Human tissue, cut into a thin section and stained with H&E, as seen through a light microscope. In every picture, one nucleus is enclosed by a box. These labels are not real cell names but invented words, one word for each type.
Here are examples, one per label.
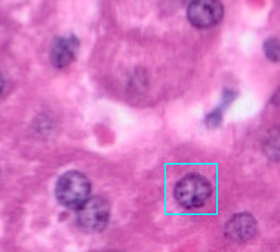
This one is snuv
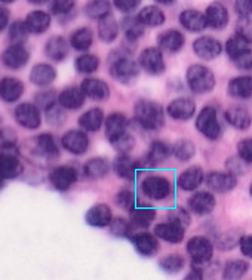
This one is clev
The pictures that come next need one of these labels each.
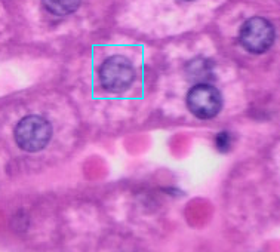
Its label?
snuv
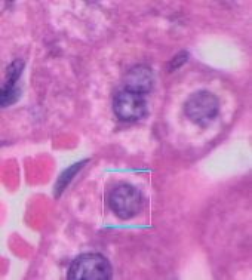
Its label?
snuv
